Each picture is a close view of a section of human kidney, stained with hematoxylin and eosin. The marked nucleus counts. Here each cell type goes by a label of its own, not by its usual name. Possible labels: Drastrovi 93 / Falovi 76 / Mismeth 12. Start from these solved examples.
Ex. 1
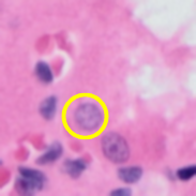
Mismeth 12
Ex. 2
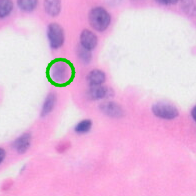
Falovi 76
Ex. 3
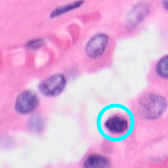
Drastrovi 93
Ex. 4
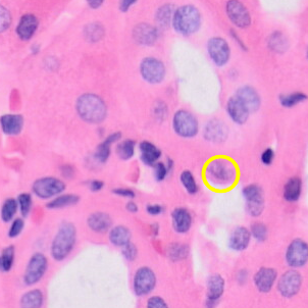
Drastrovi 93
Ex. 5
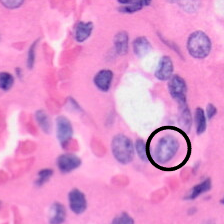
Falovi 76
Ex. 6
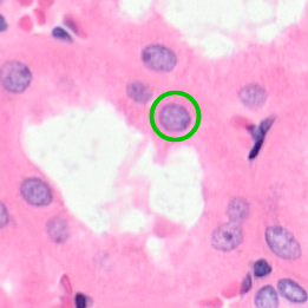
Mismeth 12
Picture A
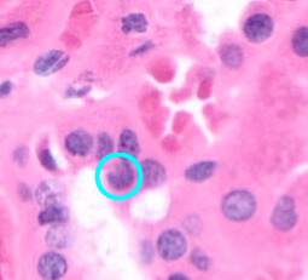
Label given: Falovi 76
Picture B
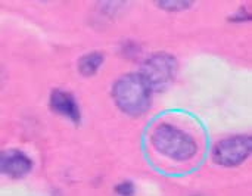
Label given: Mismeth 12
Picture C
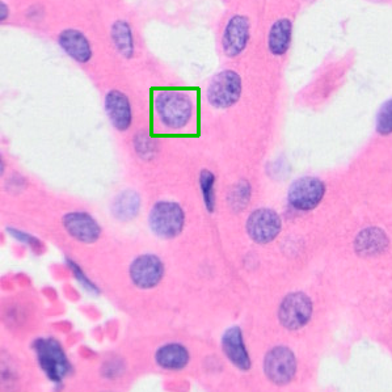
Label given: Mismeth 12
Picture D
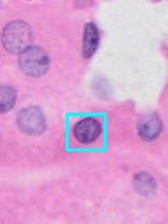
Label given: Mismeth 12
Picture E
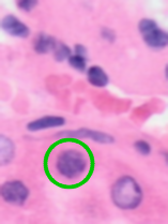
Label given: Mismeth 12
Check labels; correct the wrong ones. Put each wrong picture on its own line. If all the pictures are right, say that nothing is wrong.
B is labelled Mismeth 12; correct label: Drastrovi 93
C is labelled Mismeth 12; correct label: Drastrovi 93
